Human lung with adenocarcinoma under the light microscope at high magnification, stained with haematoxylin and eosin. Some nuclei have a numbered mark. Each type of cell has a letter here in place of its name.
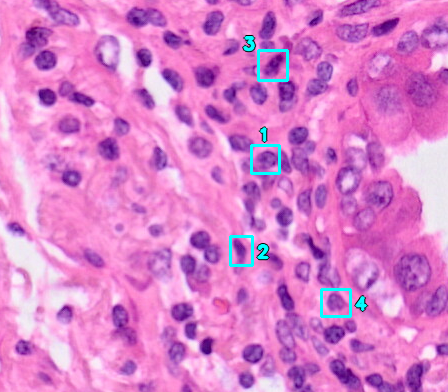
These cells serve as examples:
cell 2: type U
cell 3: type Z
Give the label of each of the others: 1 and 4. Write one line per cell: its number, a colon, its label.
1: type U
4: type U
